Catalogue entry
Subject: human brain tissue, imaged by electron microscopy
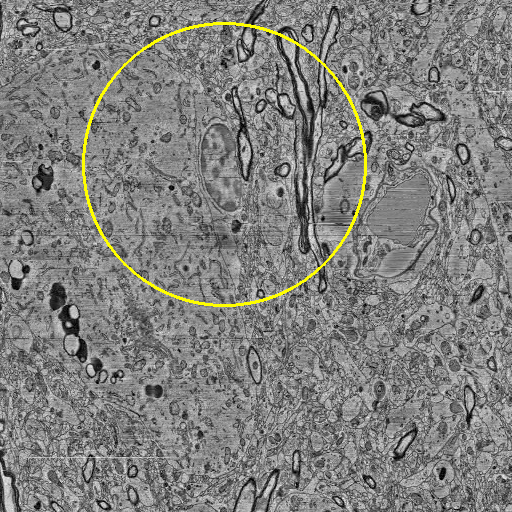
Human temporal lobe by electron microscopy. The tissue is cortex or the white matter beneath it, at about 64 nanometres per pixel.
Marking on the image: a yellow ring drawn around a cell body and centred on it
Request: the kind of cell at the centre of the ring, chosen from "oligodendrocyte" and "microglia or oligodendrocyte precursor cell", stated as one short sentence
The ring has a microglial cell or oligodendrocyte precursor cell at its centre.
